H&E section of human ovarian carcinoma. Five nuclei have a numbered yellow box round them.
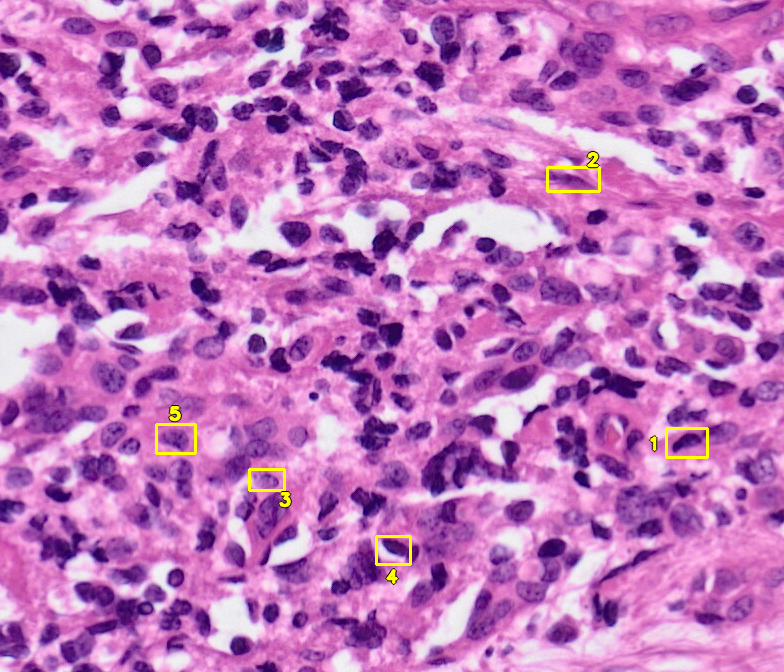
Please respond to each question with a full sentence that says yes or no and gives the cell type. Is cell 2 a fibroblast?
Yes, the cell shown as number 2 is a fibroblast.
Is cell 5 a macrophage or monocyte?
Yes, the cell with number 5 is a macrophage or monocyte.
